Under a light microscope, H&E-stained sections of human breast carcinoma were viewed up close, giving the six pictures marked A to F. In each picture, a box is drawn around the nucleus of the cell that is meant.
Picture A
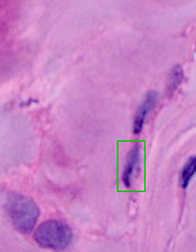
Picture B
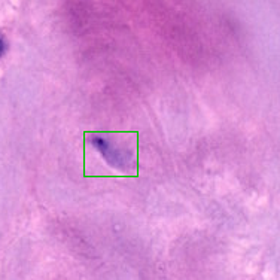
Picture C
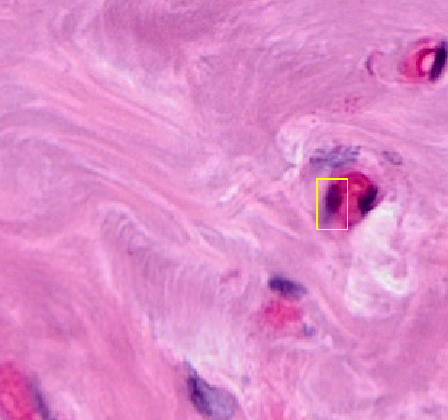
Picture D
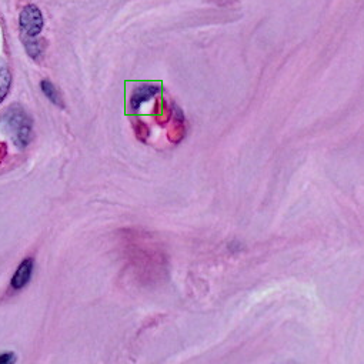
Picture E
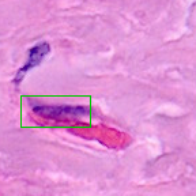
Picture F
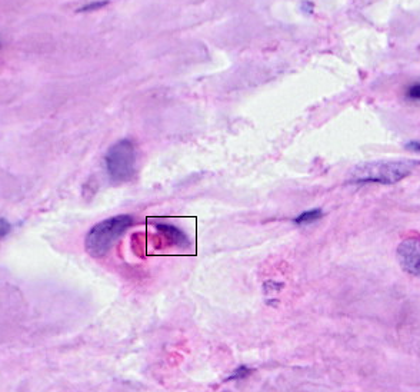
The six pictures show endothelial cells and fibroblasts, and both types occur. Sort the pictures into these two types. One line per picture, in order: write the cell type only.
fibroblast
fibroblast
endothelial cell
endothelial cell
endothelial cell
endothelial cell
